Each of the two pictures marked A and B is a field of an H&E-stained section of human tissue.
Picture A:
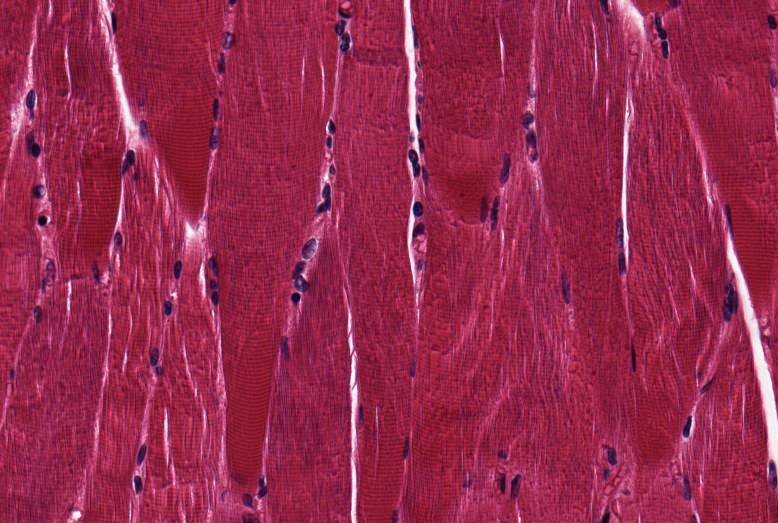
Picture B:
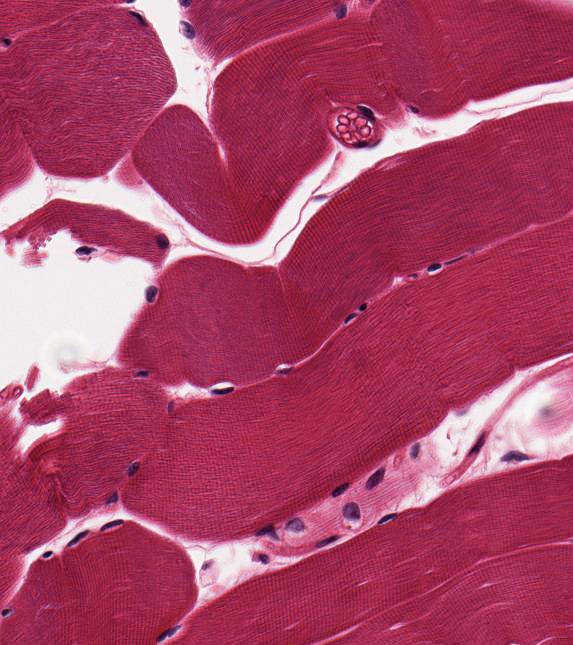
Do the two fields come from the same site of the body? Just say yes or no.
yes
